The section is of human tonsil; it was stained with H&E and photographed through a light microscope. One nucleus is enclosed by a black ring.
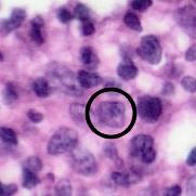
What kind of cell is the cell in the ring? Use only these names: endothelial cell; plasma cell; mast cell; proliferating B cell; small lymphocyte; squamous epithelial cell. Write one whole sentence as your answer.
Students should answer that the cell in the ring is a proliferating B cell.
